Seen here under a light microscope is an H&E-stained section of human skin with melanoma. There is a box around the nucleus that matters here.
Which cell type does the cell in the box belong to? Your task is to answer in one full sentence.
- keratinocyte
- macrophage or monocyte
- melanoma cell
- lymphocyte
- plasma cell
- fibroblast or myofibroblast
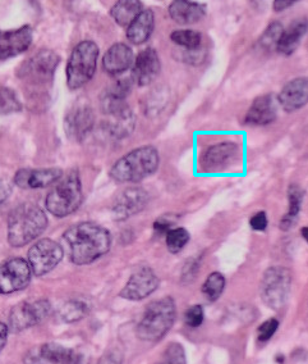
In this tissue section, the cell in the box is to be classed as a melanoma cell.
